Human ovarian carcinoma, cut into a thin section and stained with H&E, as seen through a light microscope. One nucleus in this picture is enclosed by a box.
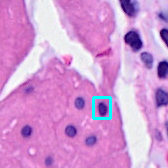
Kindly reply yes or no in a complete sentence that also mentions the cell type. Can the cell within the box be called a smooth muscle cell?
Yes, that is right: the cell within the box is a smooth muscle cell.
